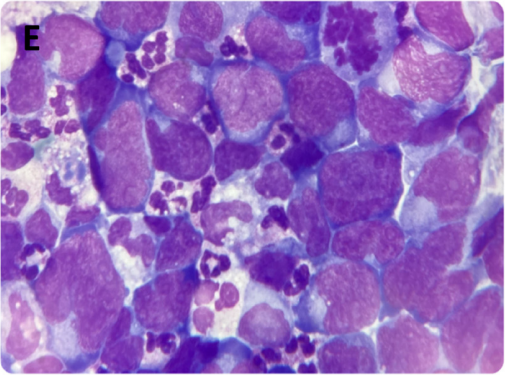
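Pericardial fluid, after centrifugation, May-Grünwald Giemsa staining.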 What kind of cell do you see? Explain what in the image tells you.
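Most of the field is taken up by large cells with big nuclei and only a narrow rim of cytoplasm. The large cells have deep blue cytoplasm and finely dispersed chromatin. Small segmented neutrophils lie scattered between the large cells.
Answer: atypical cells of hematologic origin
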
